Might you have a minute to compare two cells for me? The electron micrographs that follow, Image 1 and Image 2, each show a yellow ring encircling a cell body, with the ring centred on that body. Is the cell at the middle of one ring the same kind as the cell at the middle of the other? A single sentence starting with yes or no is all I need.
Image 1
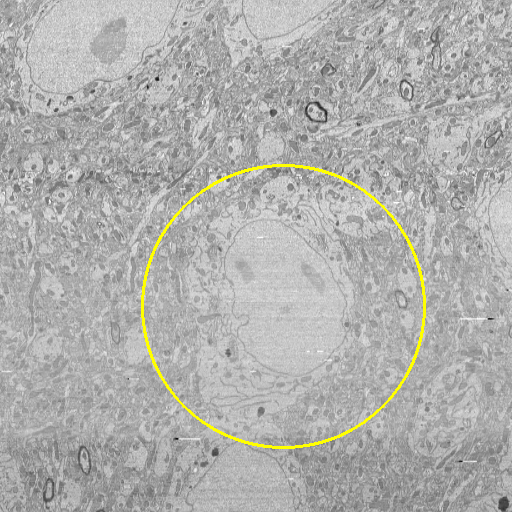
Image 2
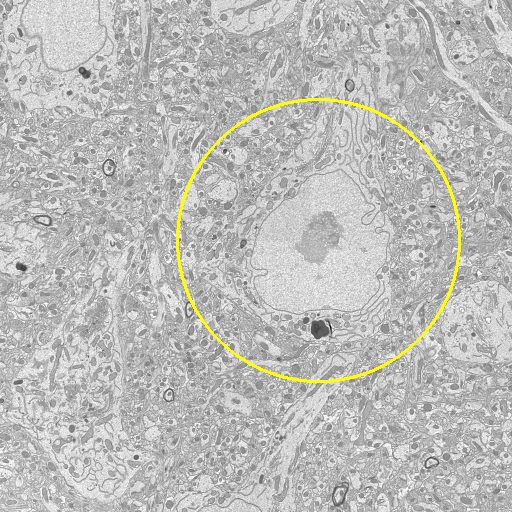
No, the cells in the middle of the two rings are of two separate kinds.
